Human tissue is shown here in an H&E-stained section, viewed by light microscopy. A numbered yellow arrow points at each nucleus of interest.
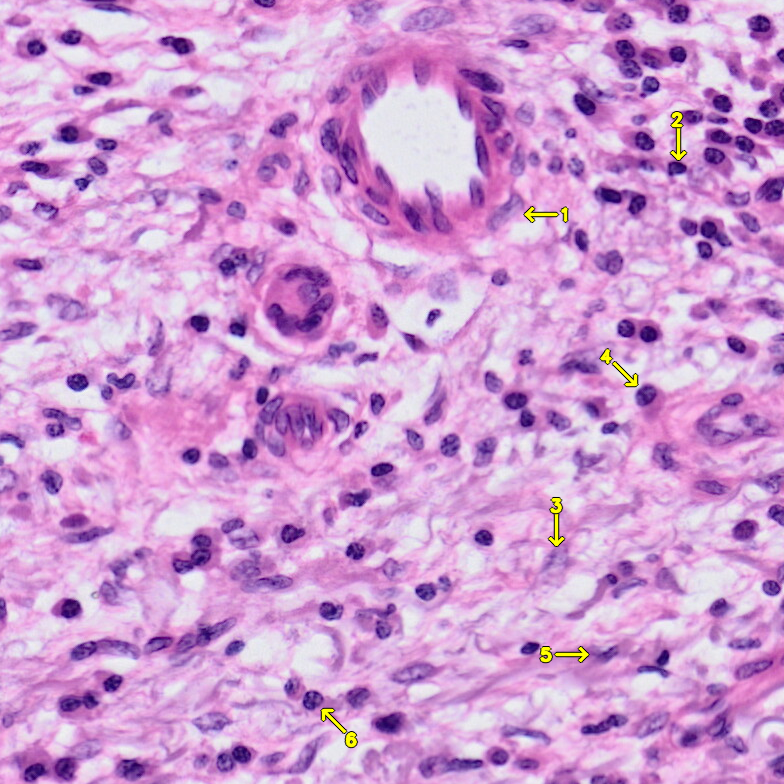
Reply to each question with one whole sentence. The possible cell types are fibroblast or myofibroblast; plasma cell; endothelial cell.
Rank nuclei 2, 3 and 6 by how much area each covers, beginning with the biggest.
By area, largest first, they run 3, 6, 2.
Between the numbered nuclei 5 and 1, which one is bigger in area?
Of the two, number 1 is bigger and takes up about 2 times the area of number 5.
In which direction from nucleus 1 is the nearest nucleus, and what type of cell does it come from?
An endothelial cell lies closest, above and to the left of nucleus 1.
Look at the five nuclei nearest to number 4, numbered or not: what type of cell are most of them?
Most of the five nuclei nearest to number 4 are those of plasma cells.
